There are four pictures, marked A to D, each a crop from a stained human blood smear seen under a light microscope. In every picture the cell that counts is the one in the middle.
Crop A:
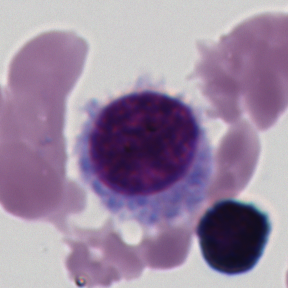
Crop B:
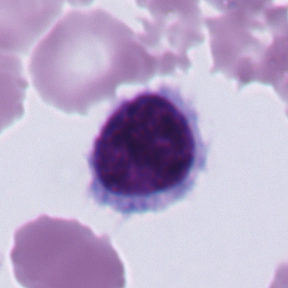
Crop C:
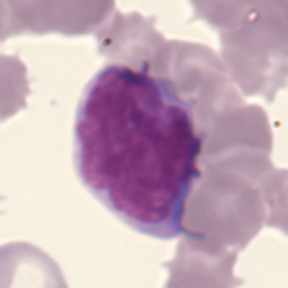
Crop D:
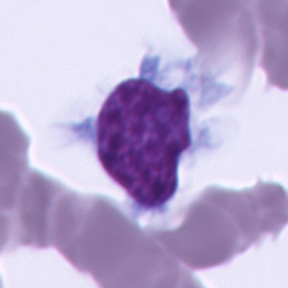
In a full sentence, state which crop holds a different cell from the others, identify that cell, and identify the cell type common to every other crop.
Although the other crops all show hairy cells, crop C shows a blast.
